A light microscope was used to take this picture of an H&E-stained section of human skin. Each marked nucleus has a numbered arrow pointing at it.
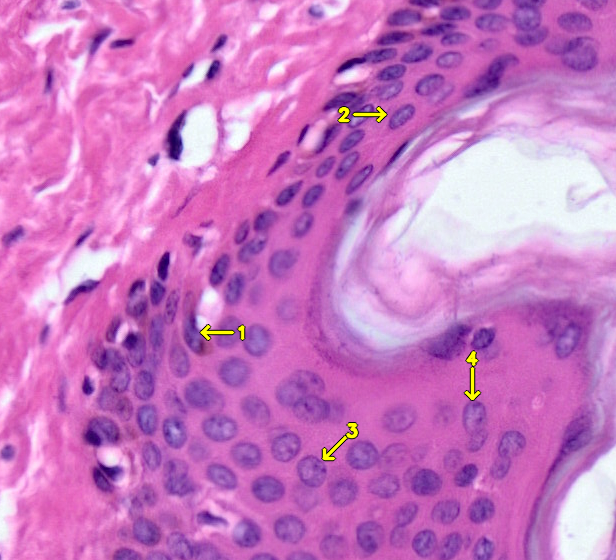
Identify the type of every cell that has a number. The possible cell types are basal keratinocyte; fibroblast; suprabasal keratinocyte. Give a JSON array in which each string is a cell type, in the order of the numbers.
["basal keratinocyte", "suprabasal keratinocyte", "suprabasal keratinocyte", "suprabasal keratinocyte"]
